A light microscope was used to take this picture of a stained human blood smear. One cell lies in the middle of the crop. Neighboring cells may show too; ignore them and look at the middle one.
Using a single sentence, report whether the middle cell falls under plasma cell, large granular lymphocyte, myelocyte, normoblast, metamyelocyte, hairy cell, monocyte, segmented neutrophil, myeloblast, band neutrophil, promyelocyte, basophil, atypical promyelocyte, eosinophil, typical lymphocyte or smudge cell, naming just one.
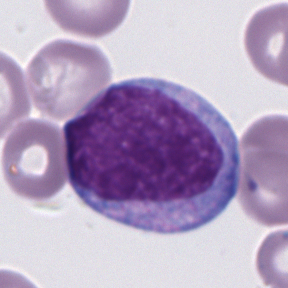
The middle position in this crop is taken by a promyelocyte.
